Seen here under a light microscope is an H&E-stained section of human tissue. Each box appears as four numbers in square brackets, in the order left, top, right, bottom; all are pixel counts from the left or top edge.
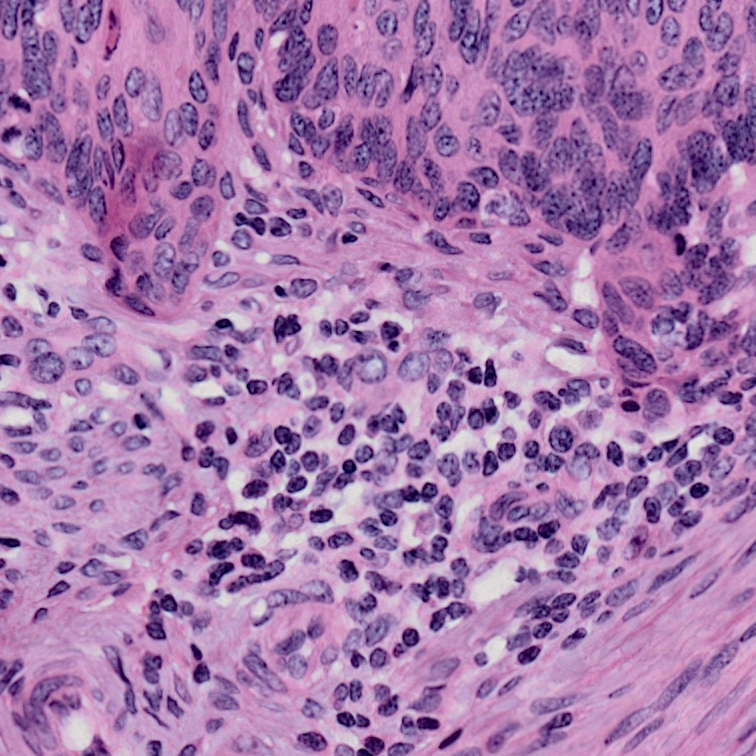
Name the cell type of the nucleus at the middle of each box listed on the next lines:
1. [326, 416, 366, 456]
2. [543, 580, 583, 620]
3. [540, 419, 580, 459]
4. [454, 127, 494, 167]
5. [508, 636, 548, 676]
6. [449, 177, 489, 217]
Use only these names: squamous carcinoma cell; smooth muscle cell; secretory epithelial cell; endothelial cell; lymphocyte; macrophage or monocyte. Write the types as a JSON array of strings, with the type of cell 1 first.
["lymphocyte", "lymphocyte", "lymphocyte", "squamous carcinoma cell", "lymphocyte", "squamous carcinoma cell"]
